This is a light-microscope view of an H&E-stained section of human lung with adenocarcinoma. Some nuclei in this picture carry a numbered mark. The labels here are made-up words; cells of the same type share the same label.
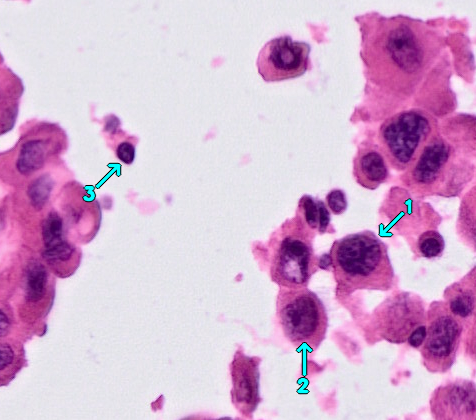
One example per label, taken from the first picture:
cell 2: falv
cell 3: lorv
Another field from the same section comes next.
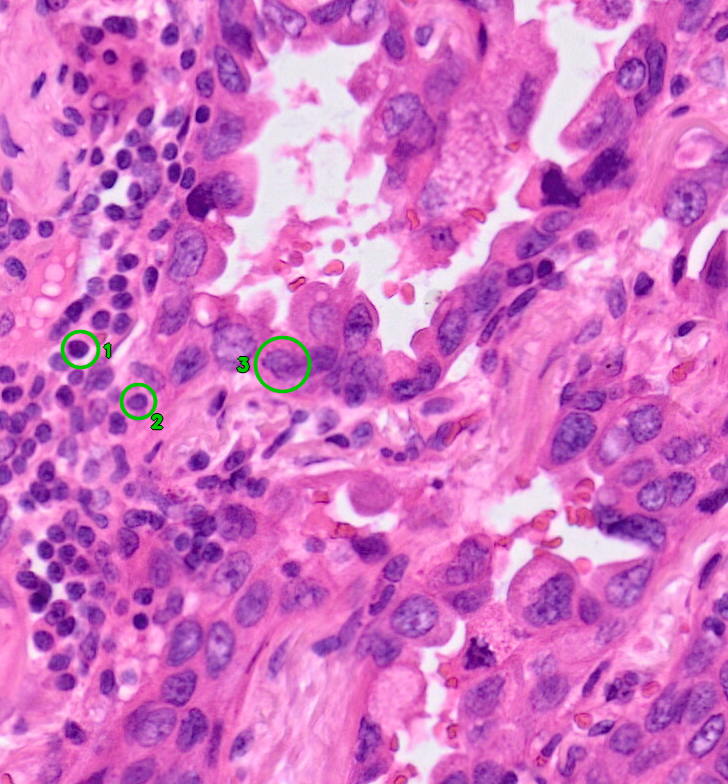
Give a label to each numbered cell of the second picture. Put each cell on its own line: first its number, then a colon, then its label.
1: lorv
2: lorv
3: falv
